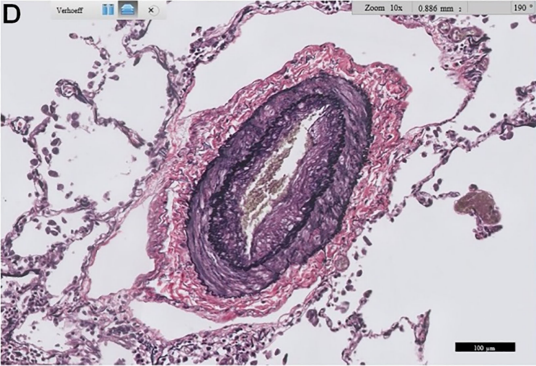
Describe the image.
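In this lung artery, elastic fibres stain black-purple and mark an inner and an outer wavy elastic membrane enclosing a thick, darkly stained muscular media. Inside the inner membrane a thickened intima narrows the lumen to a slit, and outside the outer membrane a pink fibrous outer coat merges with the surrounding alveolar walls.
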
